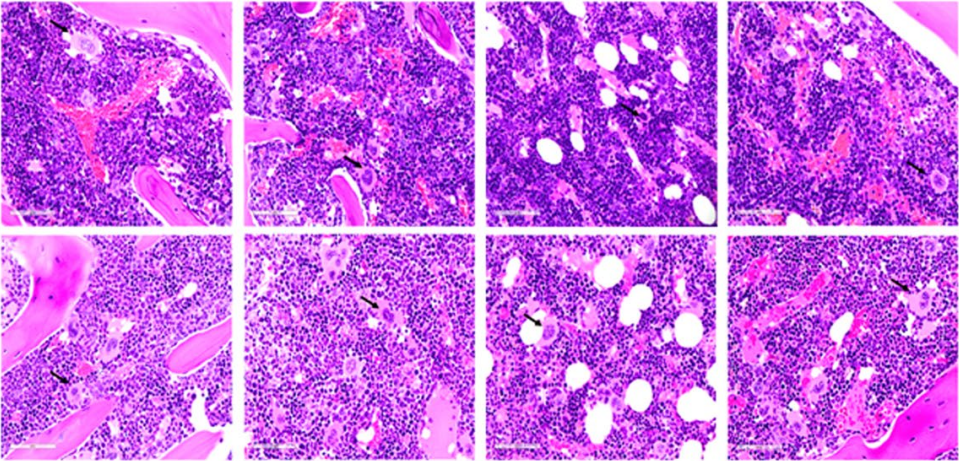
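These fields show bone marrow packed with small, round, darkly staining blood-forming cells between pink trabeculae of bone. Scattered among them are occasional very large megakaryocytes, marked by black arrows, with plentiful pink cytoplasm and large, irregular, dark nuclei. In several fields the cellular marrow is broken up by many round, clear, empty spaces. Pink, red-cell-filled vascular channels run between the cells.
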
